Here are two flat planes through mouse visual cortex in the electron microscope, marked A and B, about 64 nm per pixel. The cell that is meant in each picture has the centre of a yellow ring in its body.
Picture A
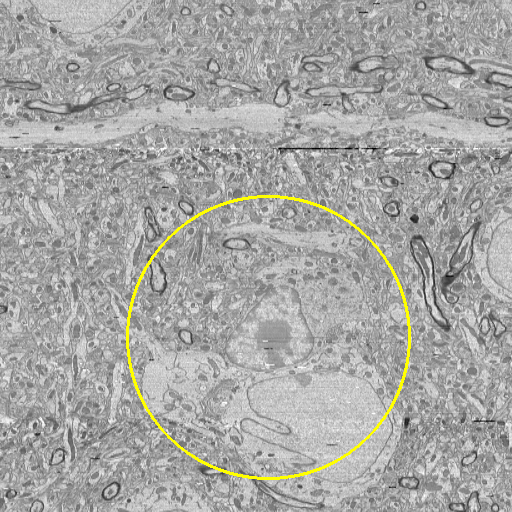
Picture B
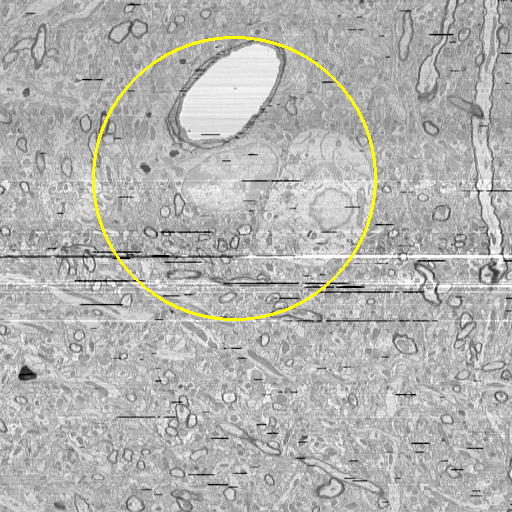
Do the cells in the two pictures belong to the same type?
Yes, both are oligodendrocytes.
